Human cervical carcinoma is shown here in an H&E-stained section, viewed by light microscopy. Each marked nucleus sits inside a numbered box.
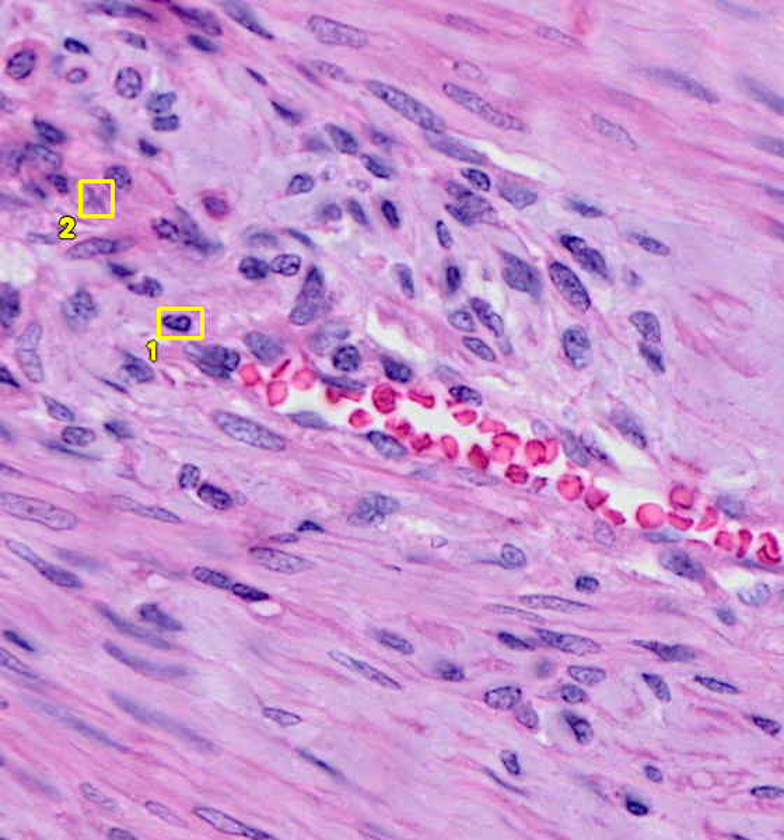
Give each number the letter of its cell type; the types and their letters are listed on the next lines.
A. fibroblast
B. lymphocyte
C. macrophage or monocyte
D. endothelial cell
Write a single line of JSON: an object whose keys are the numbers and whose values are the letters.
{"1": "B", "2": "D"}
